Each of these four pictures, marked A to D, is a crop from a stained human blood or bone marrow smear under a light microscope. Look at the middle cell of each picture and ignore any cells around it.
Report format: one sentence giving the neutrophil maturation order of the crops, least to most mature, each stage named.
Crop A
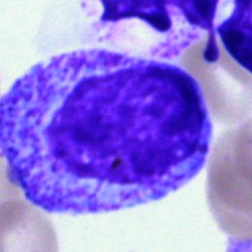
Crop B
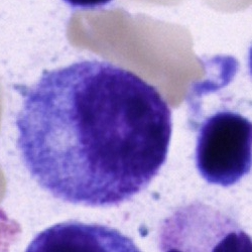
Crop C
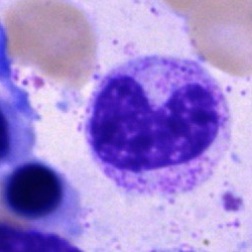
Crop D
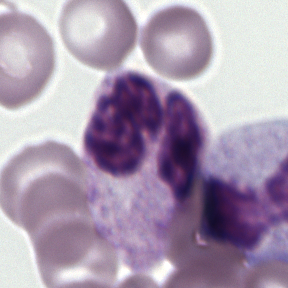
Lined up by maturity, least mature to most mature, they are crop B (a promyelocyte), crop A (a myelocyte), crop C (a metamyelocyte) and crop D (a segmented neutrophil).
